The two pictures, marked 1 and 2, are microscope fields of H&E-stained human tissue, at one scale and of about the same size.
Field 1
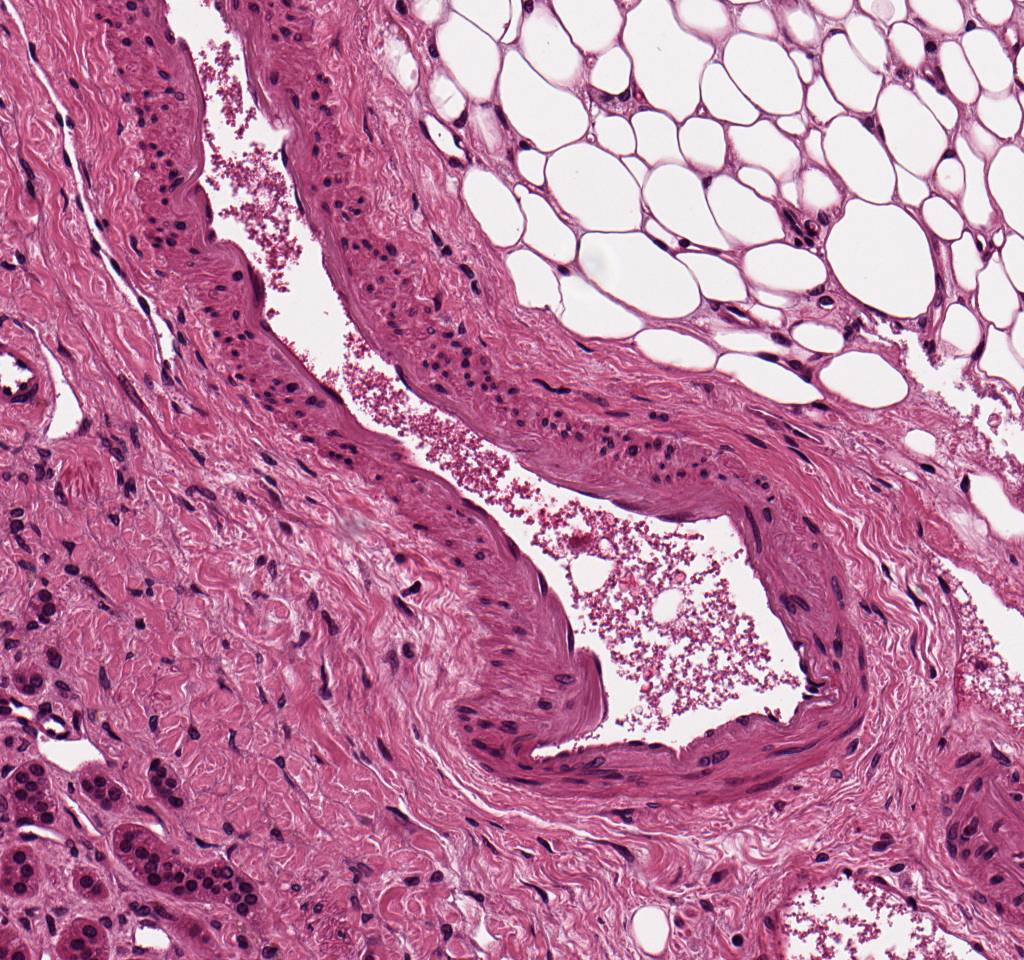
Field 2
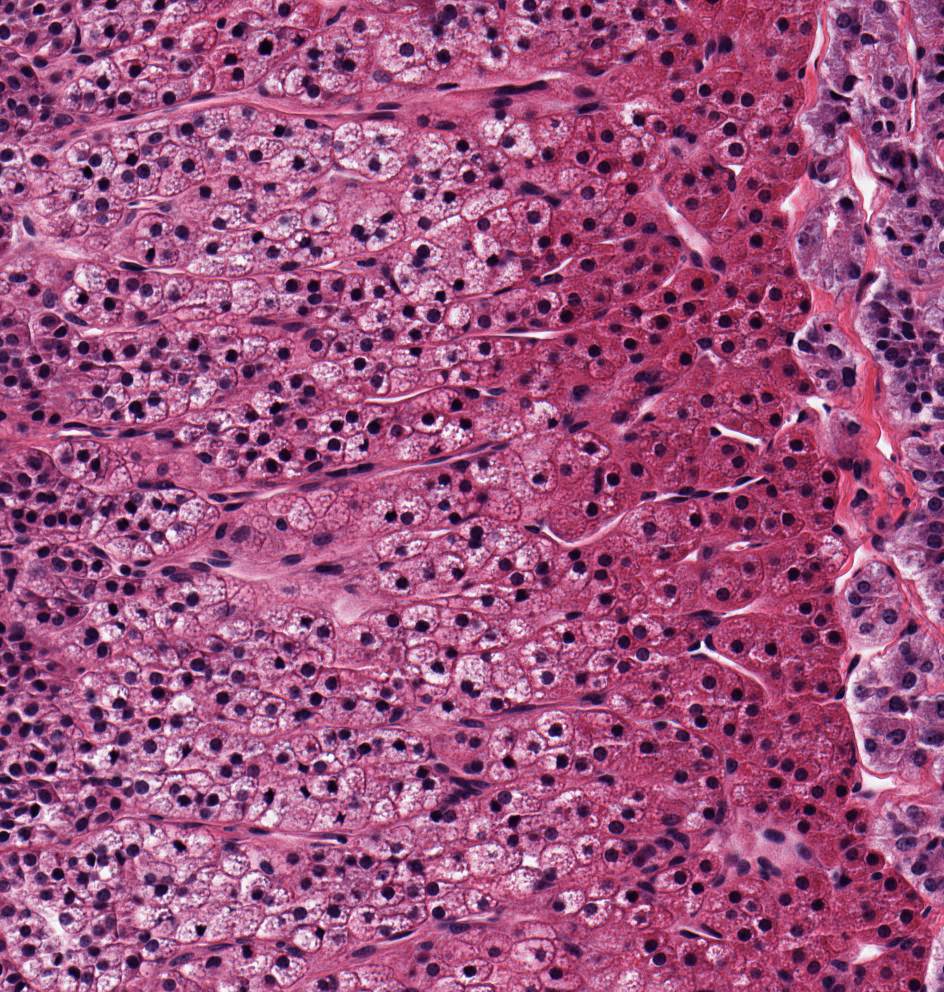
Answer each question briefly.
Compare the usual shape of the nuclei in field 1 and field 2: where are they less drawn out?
2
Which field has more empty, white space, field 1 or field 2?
1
